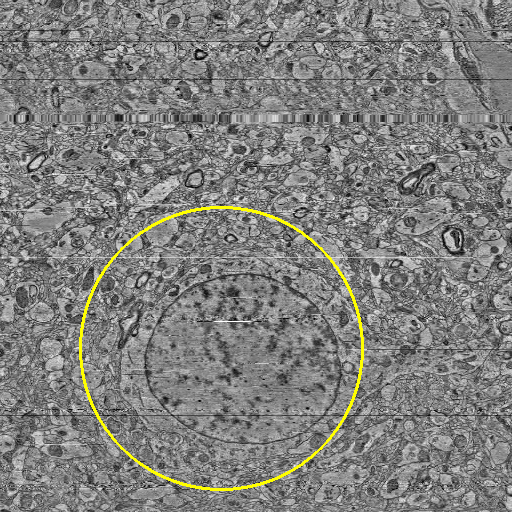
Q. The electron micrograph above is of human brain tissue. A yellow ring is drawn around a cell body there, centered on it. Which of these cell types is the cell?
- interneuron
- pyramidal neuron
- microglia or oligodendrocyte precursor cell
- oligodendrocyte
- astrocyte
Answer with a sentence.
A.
The cell under the ring's center is a pyramidal neuron.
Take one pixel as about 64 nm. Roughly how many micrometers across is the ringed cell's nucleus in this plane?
Roughly 12 micrometres across, measured in this plane.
